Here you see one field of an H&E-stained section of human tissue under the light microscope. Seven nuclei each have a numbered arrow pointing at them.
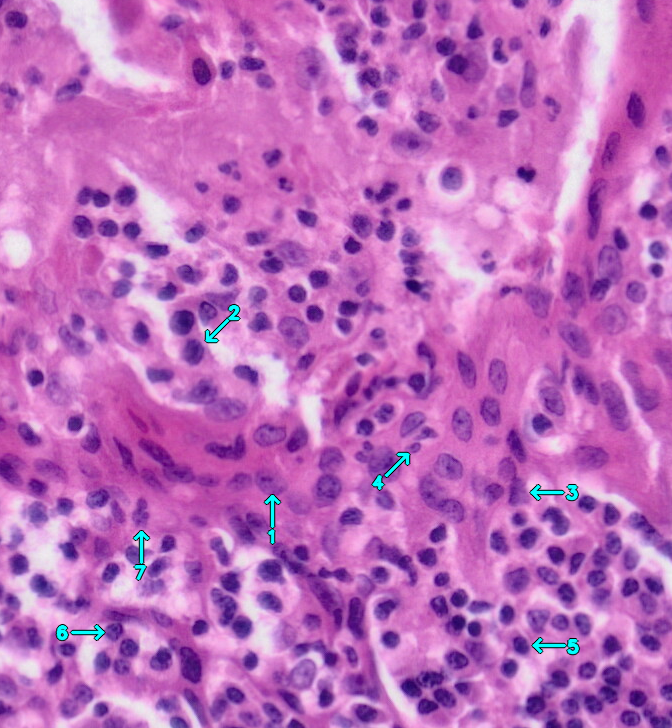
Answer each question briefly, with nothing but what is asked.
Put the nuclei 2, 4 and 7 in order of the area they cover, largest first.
2, 7, 4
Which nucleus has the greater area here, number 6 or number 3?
3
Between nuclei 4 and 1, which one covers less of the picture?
4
